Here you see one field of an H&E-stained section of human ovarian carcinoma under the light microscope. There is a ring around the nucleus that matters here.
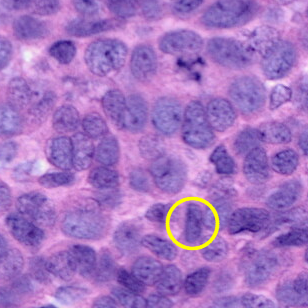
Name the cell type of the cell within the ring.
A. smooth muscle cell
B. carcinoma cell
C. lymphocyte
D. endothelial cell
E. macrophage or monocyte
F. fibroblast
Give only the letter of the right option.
B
